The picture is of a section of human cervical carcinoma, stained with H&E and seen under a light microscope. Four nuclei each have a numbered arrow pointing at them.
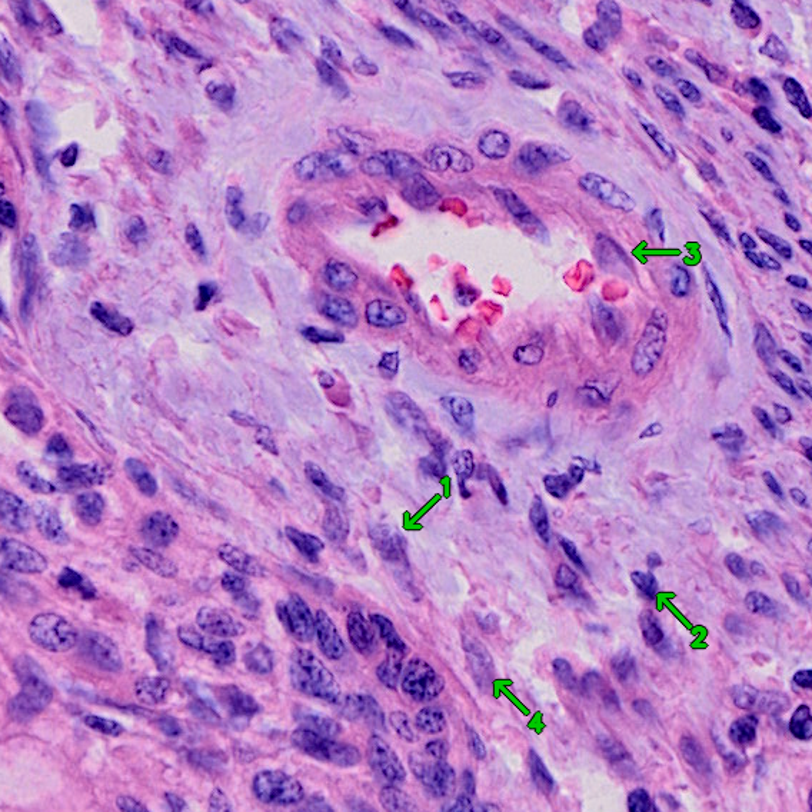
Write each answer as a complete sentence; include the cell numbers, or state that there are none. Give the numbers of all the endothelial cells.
Cell 3 is an endothelial cell, and that holds for no other numbered cell.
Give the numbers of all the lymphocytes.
Nothing but cell 2 is a lymphocyte among the numbered ones.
